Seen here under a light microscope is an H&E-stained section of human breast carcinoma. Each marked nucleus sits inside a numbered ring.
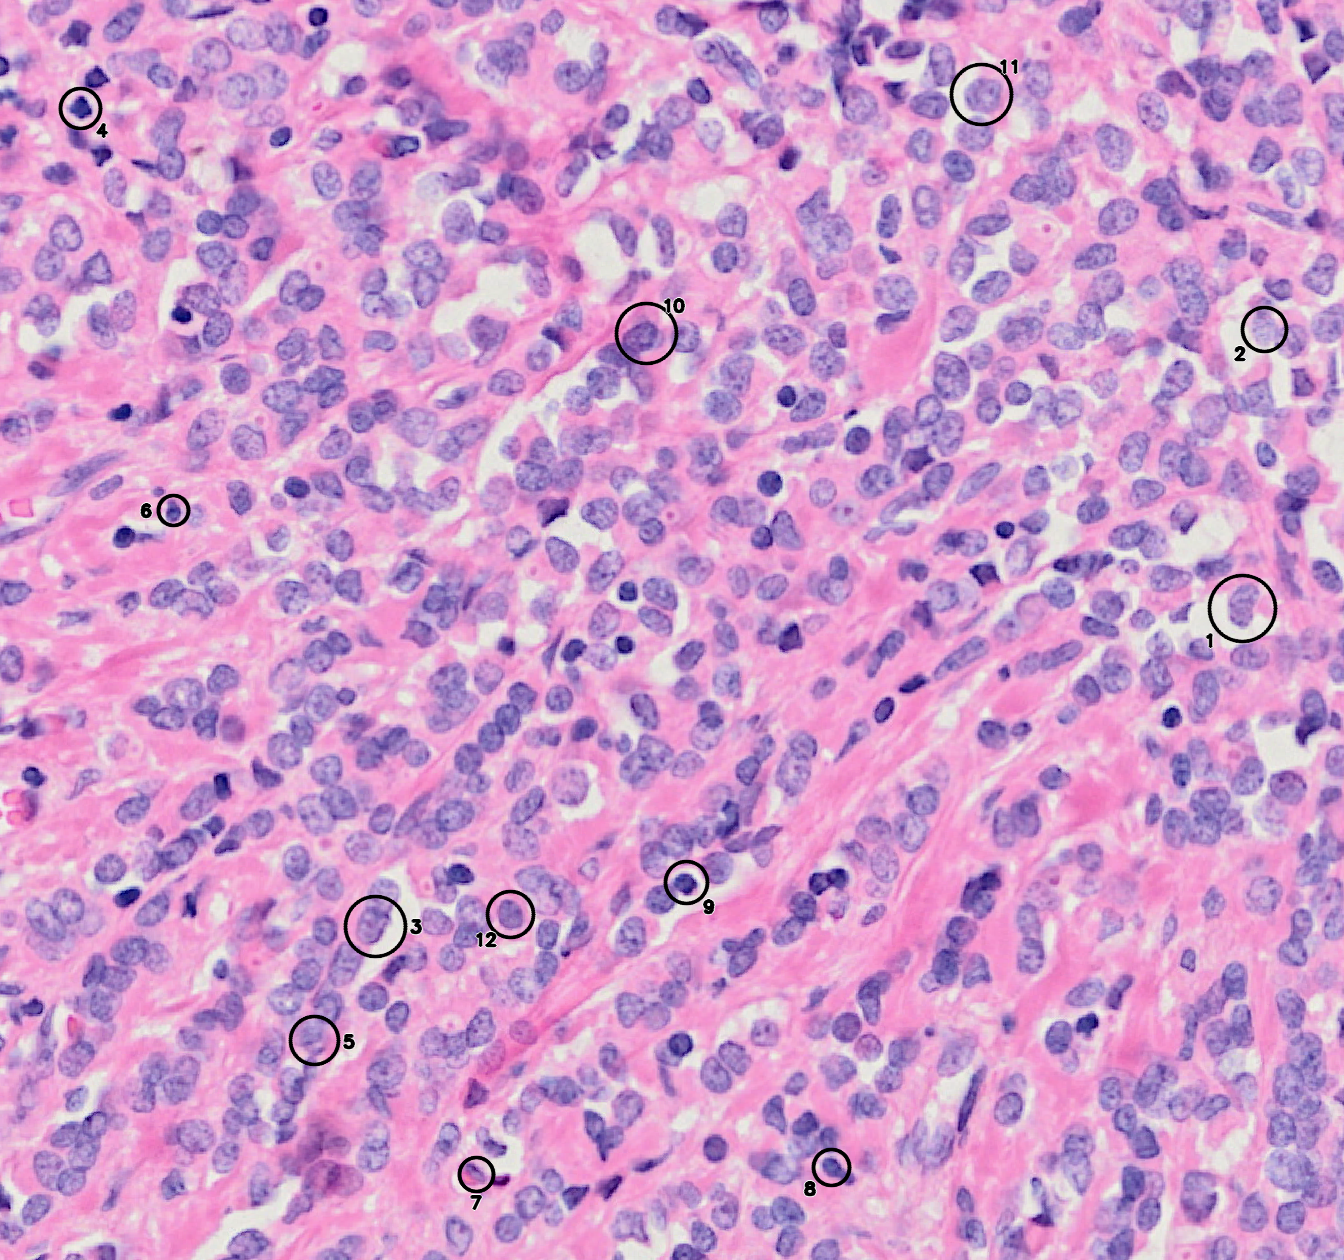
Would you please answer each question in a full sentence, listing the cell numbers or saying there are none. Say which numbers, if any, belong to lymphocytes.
The cells numbered 4, 6, 8 and 9 are of the kind known as lymphocytes.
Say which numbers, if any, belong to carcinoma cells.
The cells with the numbers 1, 2, 3, 5, 10, 11 and 12 are carcinoma cells.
